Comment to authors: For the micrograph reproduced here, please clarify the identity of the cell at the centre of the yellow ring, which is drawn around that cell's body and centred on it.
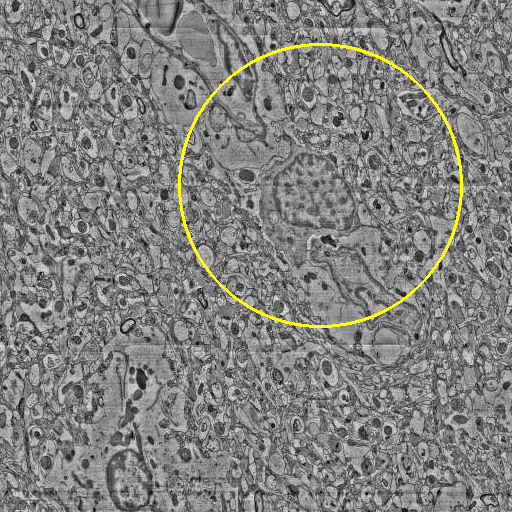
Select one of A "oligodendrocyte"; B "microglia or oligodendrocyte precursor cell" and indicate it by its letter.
A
